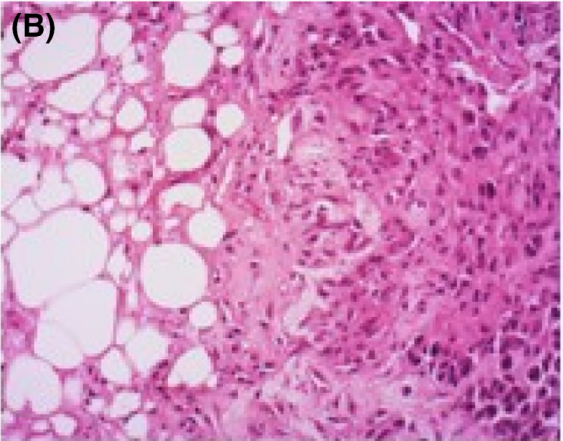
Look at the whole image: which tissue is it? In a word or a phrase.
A: Fat connective tissue.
